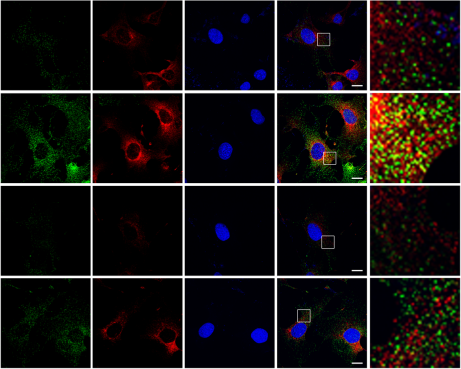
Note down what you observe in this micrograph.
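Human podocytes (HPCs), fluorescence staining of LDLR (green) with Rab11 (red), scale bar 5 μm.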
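The cells are flattened and spread out, with irregular outlines. The red signal is also granular, but it is densest around the nucleus and fades toward the periphery. In the merged images and the enlarged detail crops, green and red dots lie side by side, and in places they overlap as yellow puncta. The intensity of both signals differs between the rows.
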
